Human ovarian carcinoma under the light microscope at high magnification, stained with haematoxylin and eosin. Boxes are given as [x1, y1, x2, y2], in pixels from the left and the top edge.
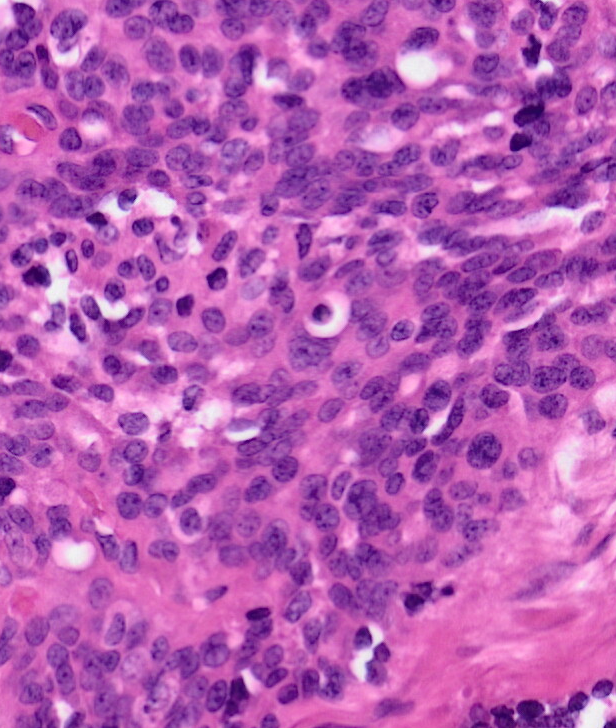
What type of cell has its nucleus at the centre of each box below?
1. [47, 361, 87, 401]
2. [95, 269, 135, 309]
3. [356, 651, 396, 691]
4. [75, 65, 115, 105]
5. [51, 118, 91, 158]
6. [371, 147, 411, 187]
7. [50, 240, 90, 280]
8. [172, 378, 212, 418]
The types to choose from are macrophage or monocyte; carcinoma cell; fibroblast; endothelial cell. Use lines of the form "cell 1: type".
cell 1: carcinoma cell
cell 2: macrophage or monocyte
cell 3: carcinoma cell
cell 4: carcinoma cell
cell 5: carcinoma cell
cell 6: carcinoma cell
cell 7: macrophage or monocyte
cell 8: macrophage or monocyte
